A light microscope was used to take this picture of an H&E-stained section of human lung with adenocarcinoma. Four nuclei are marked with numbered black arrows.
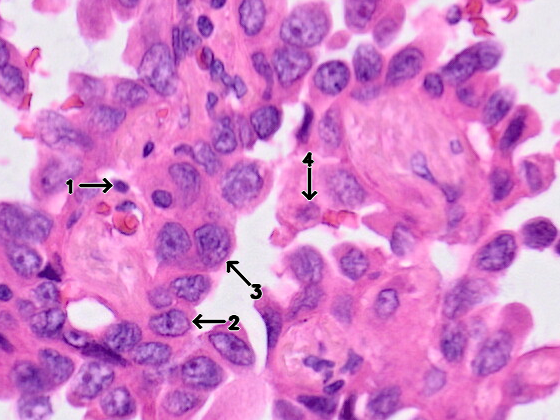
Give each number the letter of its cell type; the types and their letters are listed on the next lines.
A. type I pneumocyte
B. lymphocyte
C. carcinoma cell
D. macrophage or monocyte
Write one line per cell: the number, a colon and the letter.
1: B
2: C
3: C
4: D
